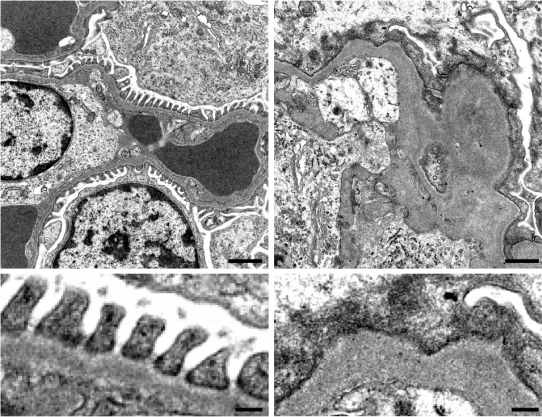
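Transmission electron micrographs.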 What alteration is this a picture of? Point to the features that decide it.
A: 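Destruction of foot processes. In the left images many regularly spaced foot processes sit on the basement membrane. In the right images the podocyte cytoplasm lies as a continuous sheet over the basement membrane without separate foot processes.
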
